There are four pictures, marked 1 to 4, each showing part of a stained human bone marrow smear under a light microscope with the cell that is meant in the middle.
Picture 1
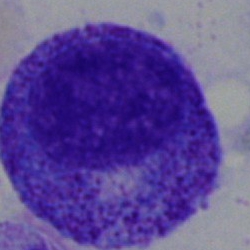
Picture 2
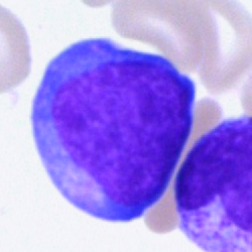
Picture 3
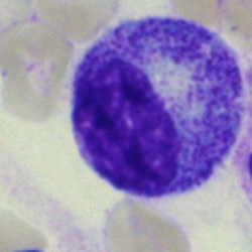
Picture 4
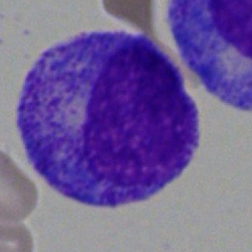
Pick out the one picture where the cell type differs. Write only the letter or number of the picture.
2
